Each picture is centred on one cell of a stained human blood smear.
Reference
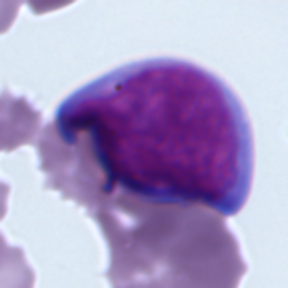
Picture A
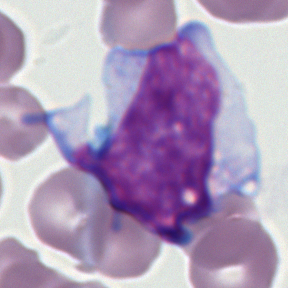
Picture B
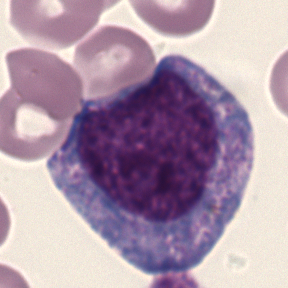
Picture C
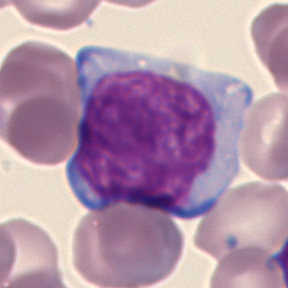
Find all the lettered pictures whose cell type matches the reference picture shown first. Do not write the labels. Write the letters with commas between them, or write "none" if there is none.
A, C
